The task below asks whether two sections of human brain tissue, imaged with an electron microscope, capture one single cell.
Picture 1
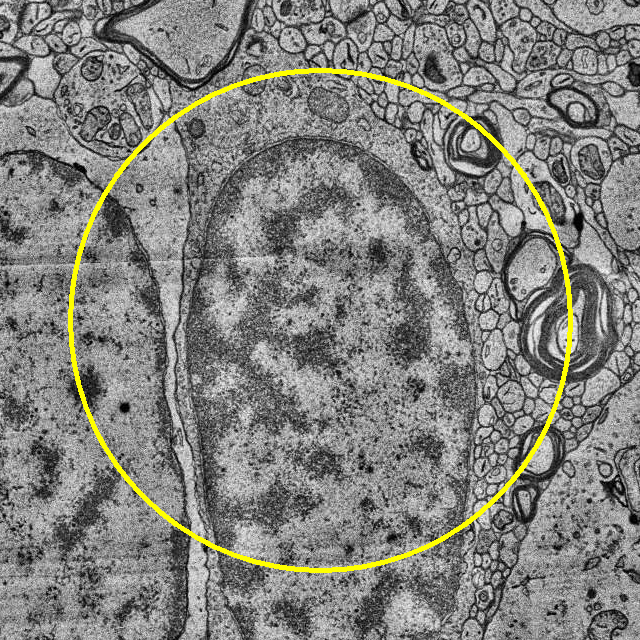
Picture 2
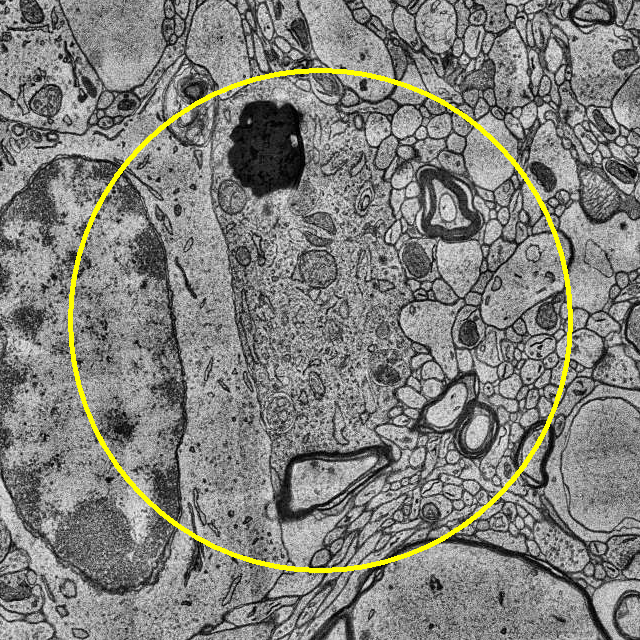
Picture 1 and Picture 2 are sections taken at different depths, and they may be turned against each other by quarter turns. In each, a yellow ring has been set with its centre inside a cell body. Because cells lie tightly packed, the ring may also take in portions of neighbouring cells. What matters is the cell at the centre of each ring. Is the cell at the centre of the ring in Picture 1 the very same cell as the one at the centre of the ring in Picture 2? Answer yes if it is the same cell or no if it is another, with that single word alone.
yes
